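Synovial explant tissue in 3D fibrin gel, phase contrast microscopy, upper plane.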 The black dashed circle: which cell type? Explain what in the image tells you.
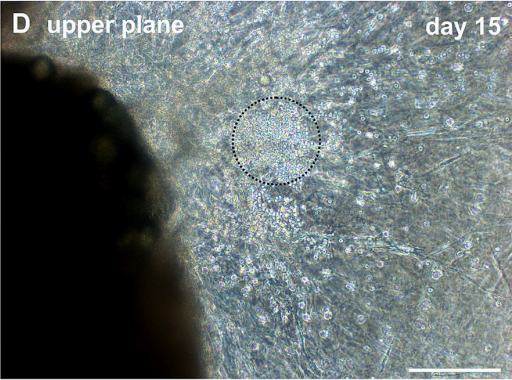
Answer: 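Inflammatory cells. The circle encloses a dense group of small round cells. Elongated strands run through the surrounding gel.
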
